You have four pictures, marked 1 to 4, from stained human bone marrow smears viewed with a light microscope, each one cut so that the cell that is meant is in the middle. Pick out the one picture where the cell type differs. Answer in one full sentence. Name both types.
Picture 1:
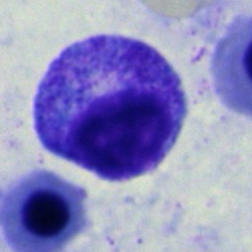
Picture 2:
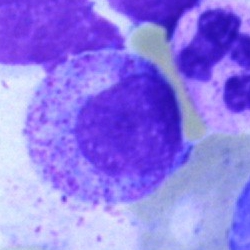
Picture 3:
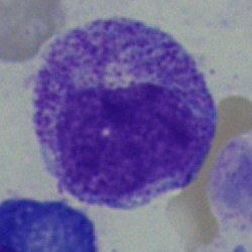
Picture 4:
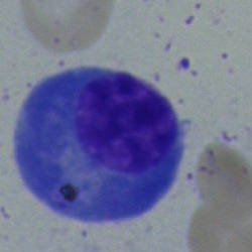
The different one is picture 4; it shows a plasma cell, whereas all the others show myelocytes.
